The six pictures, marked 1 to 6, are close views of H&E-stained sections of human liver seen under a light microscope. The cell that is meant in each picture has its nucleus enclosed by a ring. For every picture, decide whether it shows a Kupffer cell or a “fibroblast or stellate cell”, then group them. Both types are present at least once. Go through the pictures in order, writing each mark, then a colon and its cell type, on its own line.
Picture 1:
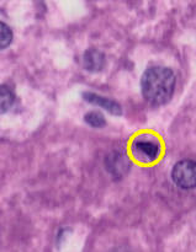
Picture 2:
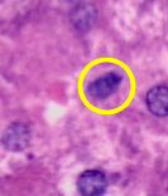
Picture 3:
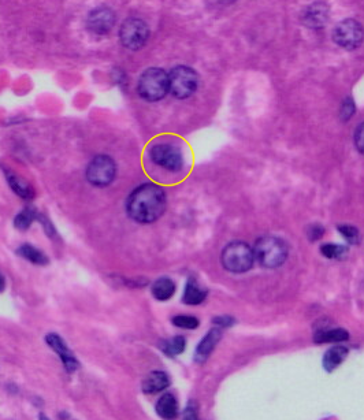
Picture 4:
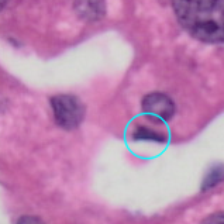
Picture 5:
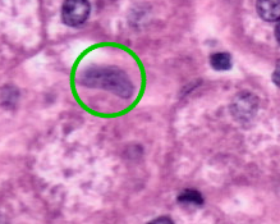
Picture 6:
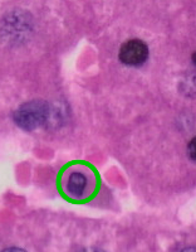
1: fibroblast or stellate cell
2: fibroblast or stellate cell
3: fibroblast or stellate cell
4: fibroblast or stellate cell
5: Kupffer cell
6: Kupffer cell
